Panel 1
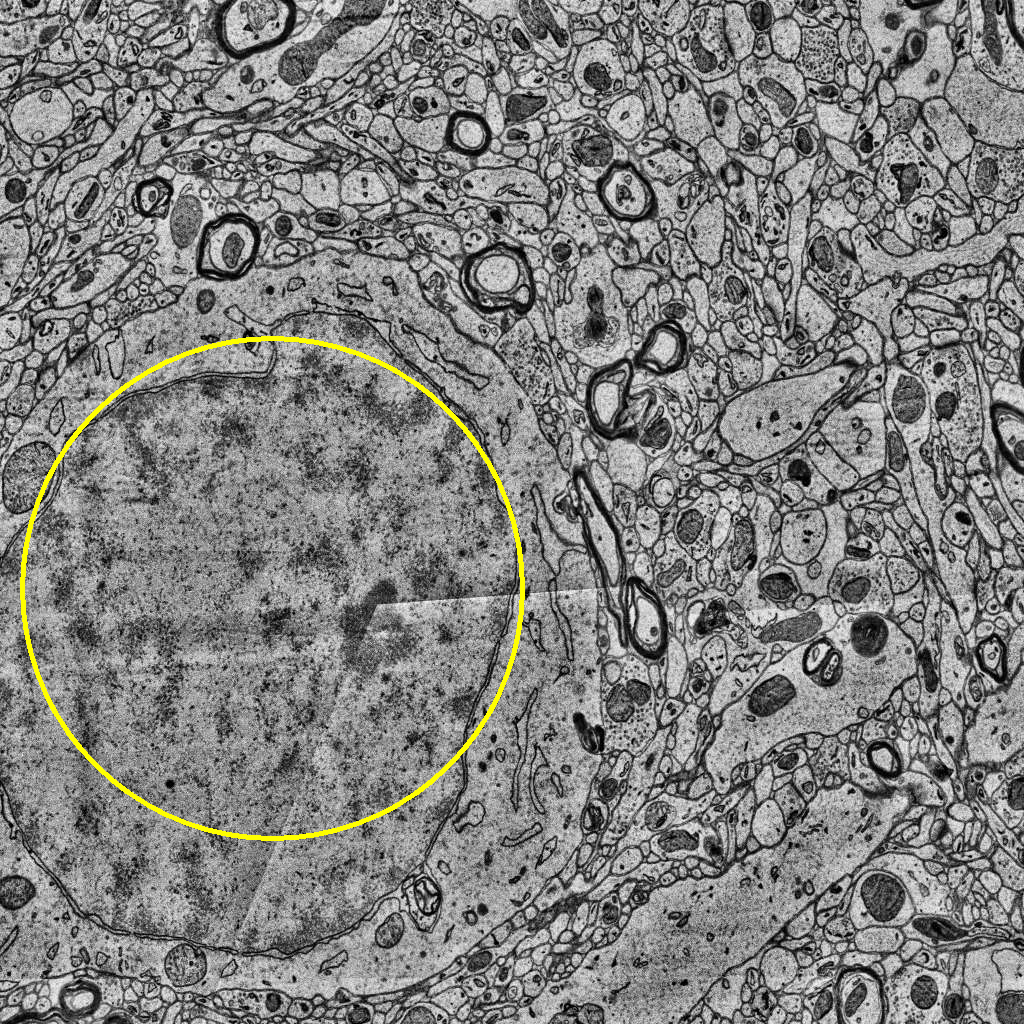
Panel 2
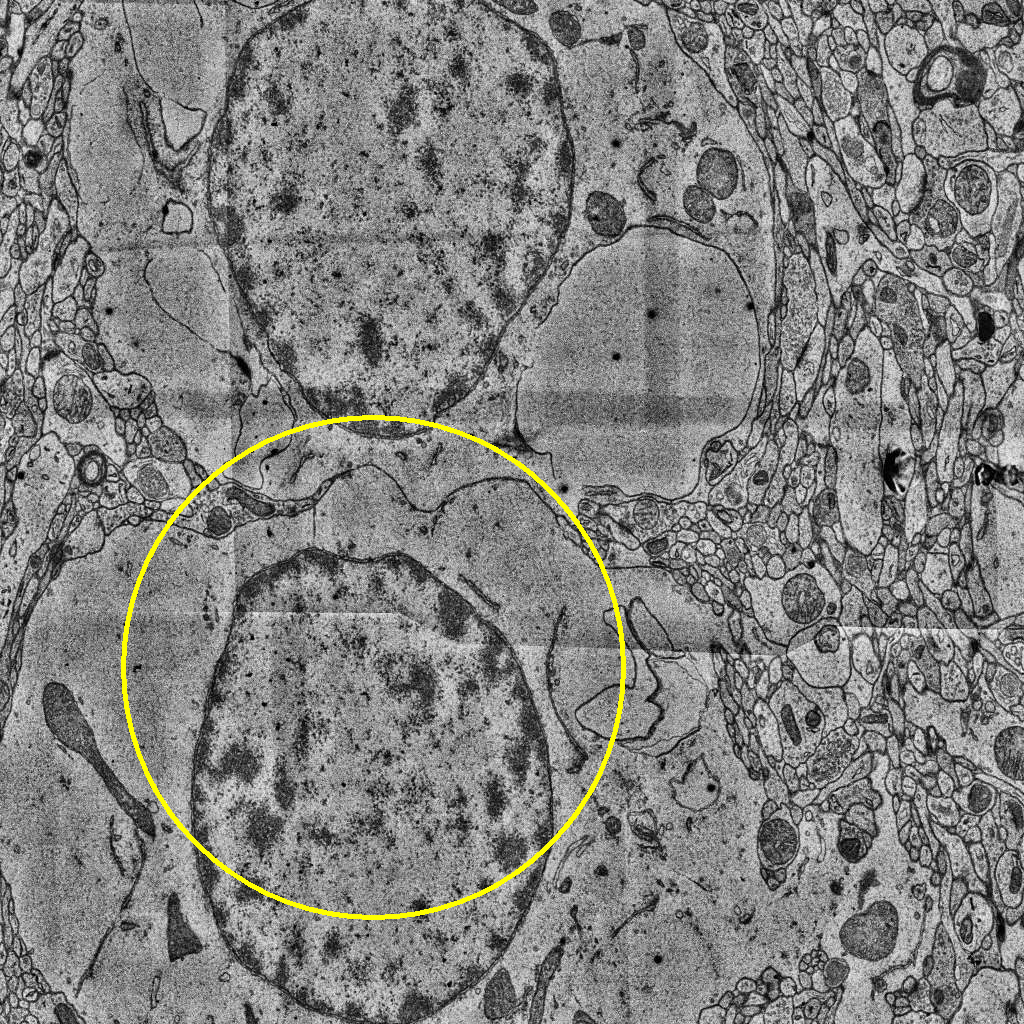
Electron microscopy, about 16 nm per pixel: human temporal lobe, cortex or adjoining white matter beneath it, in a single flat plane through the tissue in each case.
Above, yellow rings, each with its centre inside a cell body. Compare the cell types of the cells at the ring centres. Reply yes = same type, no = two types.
no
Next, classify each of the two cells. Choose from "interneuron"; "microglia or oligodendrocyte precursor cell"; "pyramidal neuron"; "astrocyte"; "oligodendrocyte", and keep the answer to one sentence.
The first picture shows an interneuron at the ring centre and the second shows an astrocyte.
